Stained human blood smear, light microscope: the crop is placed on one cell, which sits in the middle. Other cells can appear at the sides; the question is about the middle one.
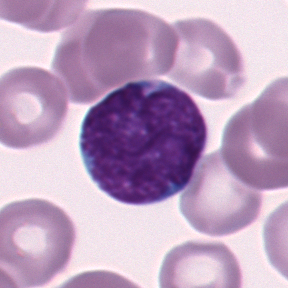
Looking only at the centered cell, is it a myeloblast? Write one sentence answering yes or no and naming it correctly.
Yes, the cell of interest in the middle is a myeloblast.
